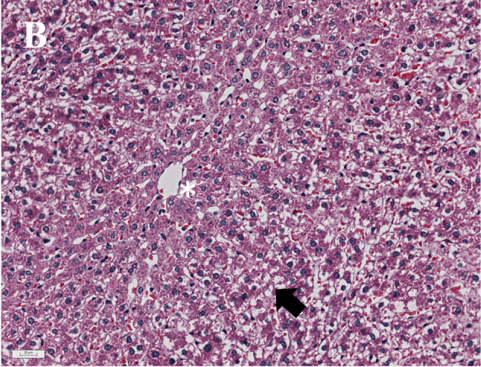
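This is liver tissue in which many hepatocytes show ballooning. The cells still lie in rough cords around a central vein with an open lumen, but the pattern is disordered. Many hepatocytes are enlarged, and their cytoplasm is pale and cleared instead of evenly pink. Each has a round, dark-purple nucleus that stands out against this pale cytoplasm. Because the cells are swollen, the sinusoids between the cords are narrowed and hard to follow. The overall tone of the tissue is paler and more mottled than in normal liver.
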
